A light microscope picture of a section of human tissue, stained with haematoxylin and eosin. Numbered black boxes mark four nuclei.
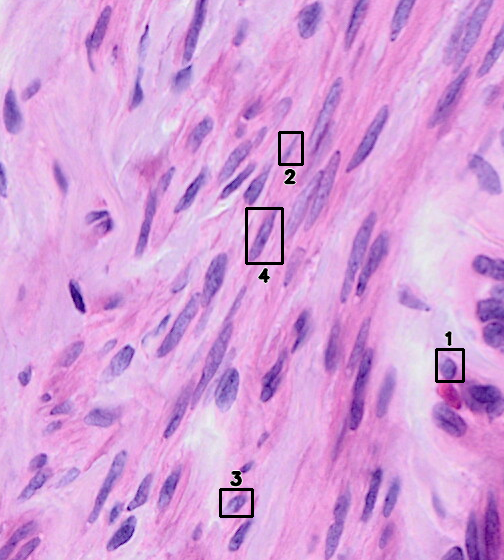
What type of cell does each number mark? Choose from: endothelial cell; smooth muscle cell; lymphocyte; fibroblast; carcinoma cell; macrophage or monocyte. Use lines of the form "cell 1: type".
cell 1: endothelial cell
cell 2: smooth muscle cell
cell 3: smooth muscle cell
cell 4: smooth muscle cell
